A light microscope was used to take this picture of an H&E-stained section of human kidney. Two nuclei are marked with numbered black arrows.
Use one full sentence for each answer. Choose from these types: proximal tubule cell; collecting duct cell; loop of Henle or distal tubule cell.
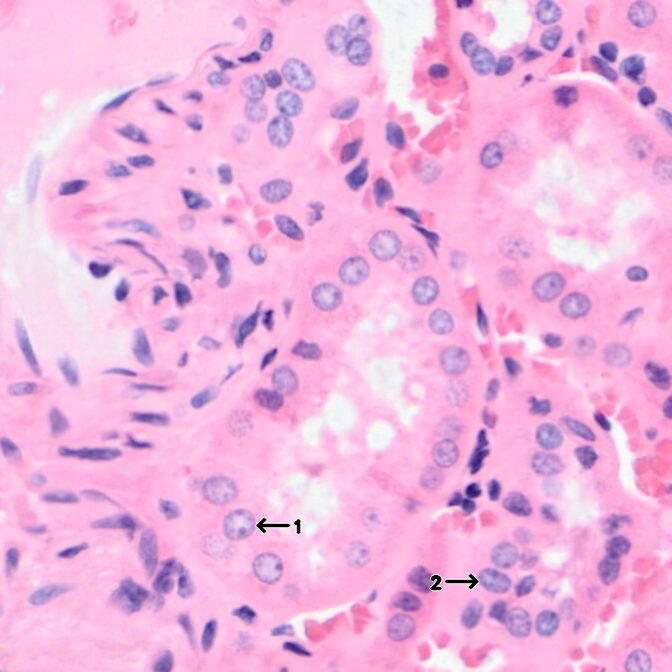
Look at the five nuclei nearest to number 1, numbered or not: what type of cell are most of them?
Proximal tubule cells make up most of the five nuclei closest to number 1.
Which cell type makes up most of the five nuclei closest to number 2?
Around number 2, most of the five nearest nuclei are those of loop of Henle or distal tubule cells.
